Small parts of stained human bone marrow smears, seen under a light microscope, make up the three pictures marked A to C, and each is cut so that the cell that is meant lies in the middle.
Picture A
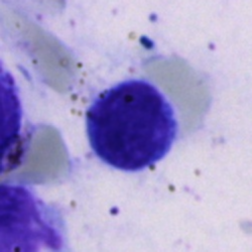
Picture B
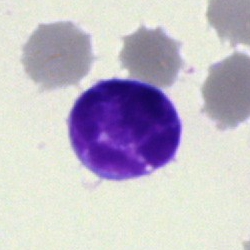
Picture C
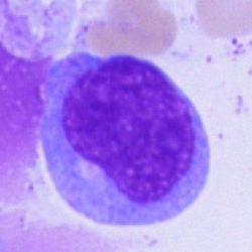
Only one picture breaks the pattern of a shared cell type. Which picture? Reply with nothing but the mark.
C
